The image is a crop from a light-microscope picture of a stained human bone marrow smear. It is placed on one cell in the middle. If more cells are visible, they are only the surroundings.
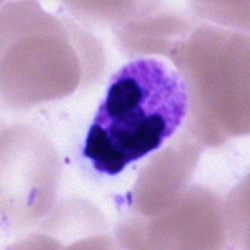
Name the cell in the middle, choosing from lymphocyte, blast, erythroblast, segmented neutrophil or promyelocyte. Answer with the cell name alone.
segmented neutrophil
